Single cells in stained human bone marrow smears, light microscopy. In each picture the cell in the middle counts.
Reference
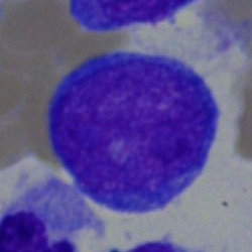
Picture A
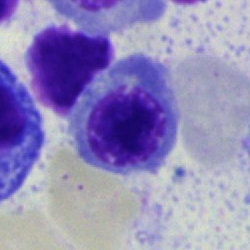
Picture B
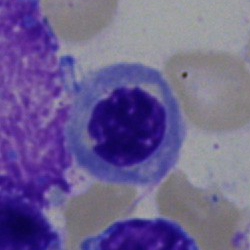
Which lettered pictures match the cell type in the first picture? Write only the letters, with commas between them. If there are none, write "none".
none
